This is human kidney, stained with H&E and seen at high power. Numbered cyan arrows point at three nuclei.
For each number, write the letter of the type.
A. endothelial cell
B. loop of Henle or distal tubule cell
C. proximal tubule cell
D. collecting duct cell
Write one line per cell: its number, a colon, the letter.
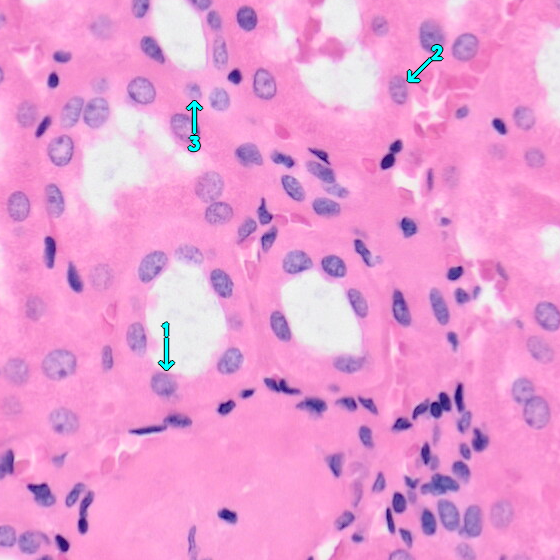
1: B
2: C
3: D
